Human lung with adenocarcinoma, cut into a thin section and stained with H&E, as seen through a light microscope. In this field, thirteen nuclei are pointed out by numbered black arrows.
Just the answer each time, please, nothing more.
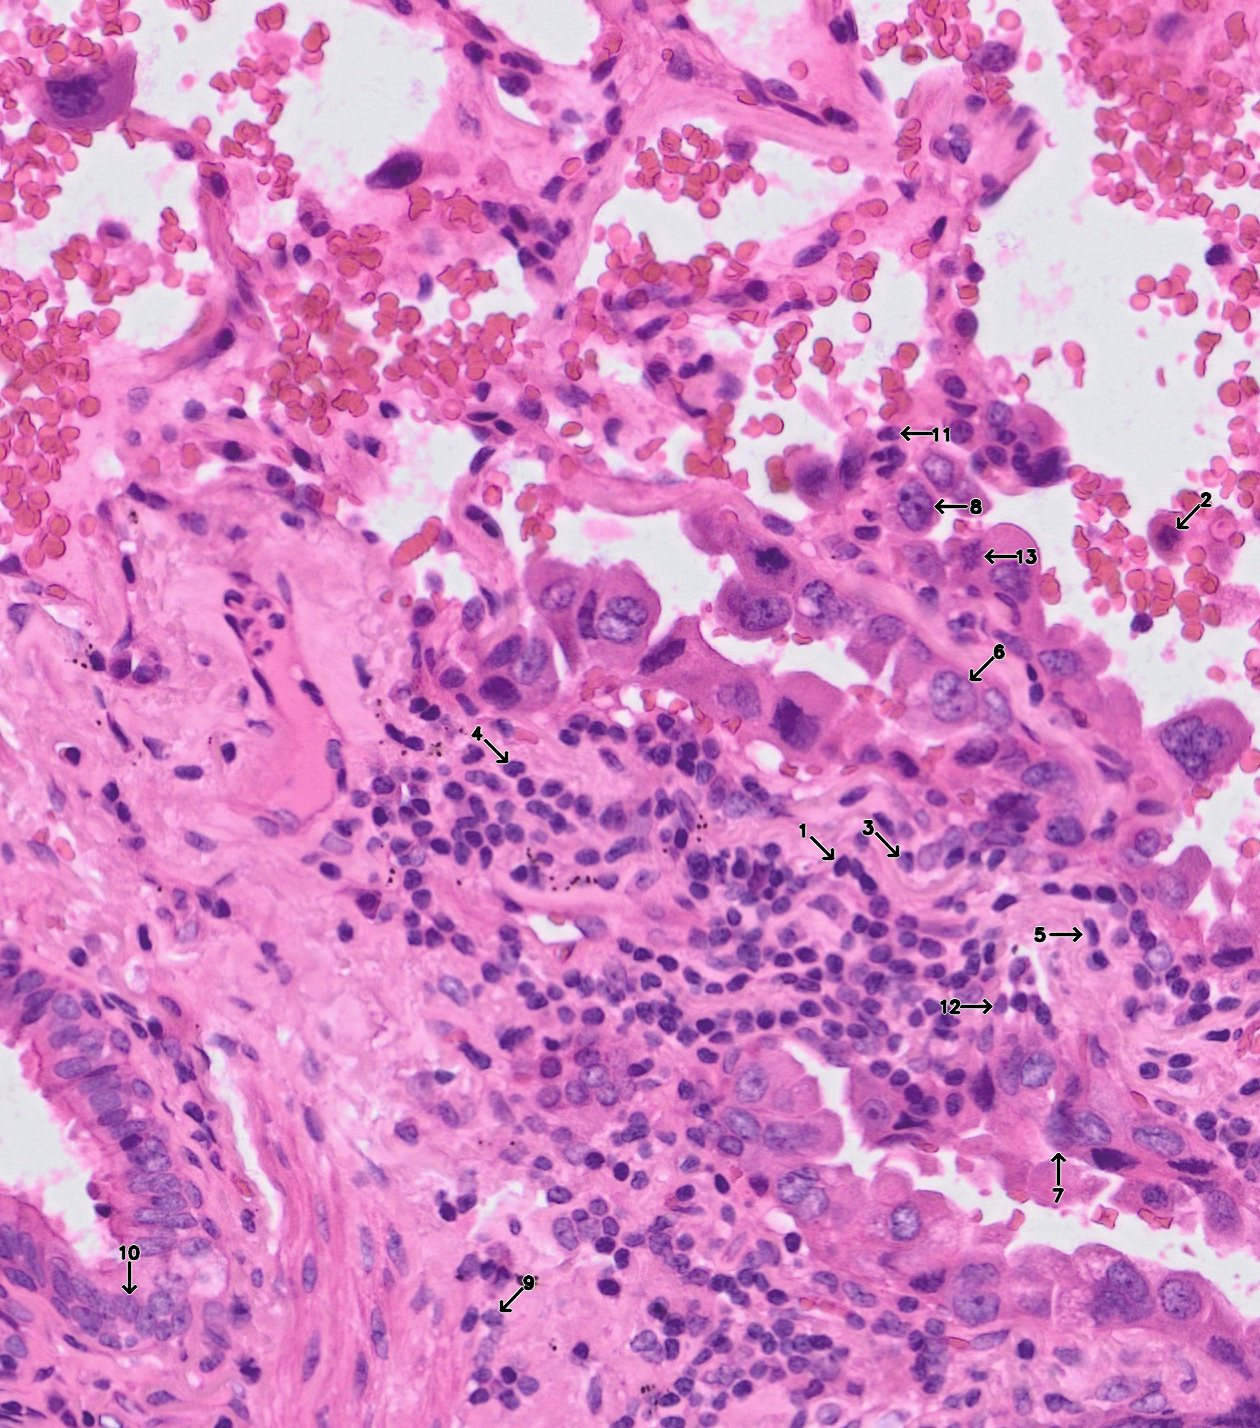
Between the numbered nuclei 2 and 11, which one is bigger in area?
2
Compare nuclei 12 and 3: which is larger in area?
3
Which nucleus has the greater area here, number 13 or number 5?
13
